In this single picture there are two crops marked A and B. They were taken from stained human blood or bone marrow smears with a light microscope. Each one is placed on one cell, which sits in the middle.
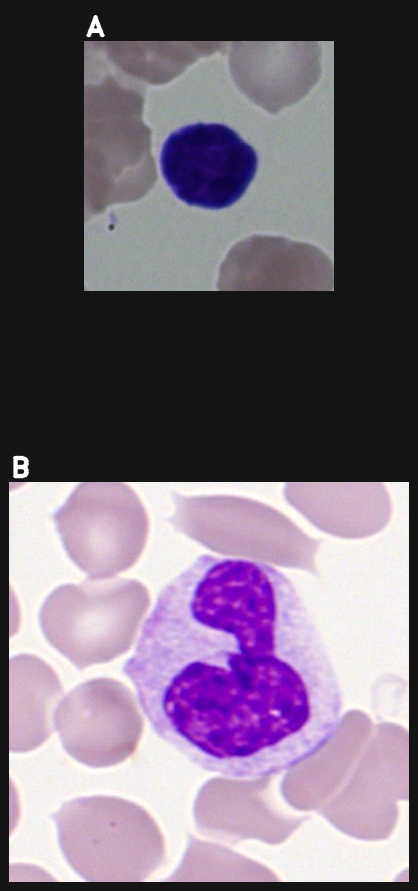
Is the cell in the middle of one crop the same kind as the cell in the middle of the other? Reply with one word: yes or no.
no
